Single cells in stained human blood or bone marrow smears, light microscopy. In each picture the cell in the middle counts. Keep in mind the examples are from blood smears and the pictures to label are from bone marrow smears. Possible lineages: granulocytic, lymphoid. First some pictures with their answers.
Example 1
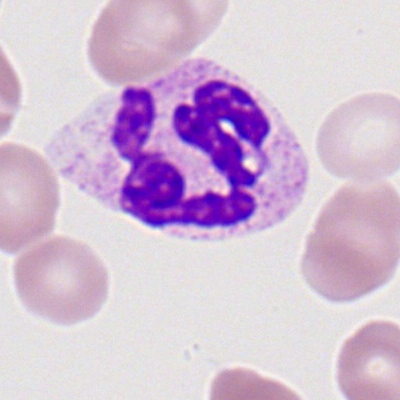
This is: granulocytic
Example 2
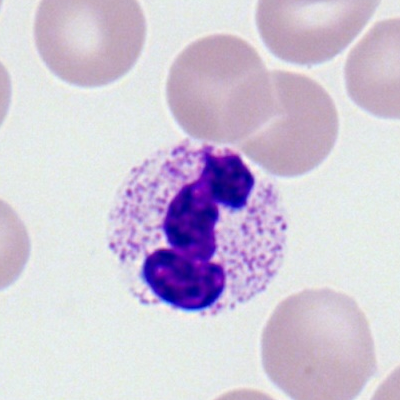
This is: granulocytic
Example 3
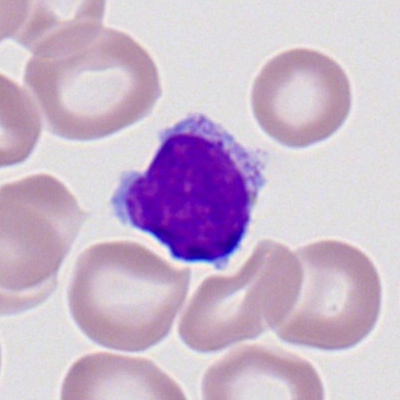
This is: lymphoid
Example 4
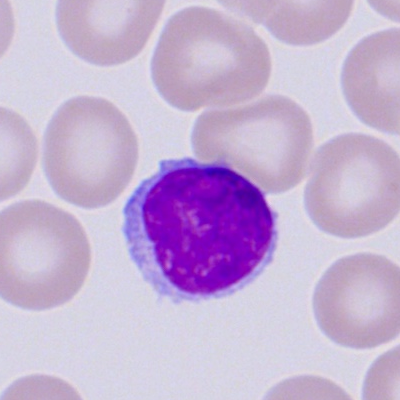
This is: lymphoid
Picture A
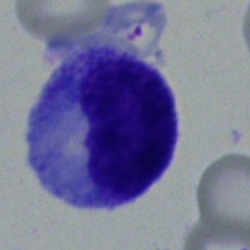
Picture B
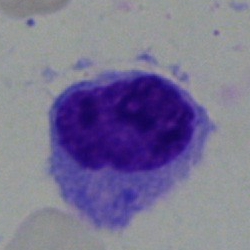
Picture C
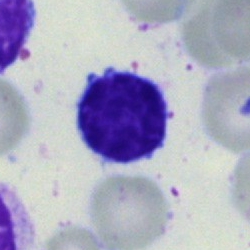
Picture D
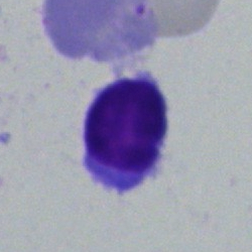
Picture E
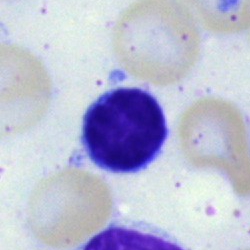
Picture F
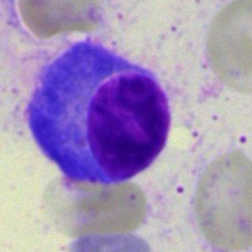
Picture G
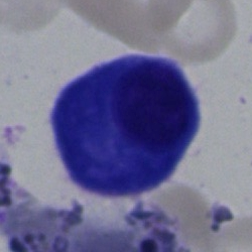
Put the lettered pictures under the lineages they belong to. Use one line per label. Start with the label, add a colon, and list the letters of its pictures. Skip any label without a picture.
granulocytic: A
lymphoid: B, C, D, E, F, G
